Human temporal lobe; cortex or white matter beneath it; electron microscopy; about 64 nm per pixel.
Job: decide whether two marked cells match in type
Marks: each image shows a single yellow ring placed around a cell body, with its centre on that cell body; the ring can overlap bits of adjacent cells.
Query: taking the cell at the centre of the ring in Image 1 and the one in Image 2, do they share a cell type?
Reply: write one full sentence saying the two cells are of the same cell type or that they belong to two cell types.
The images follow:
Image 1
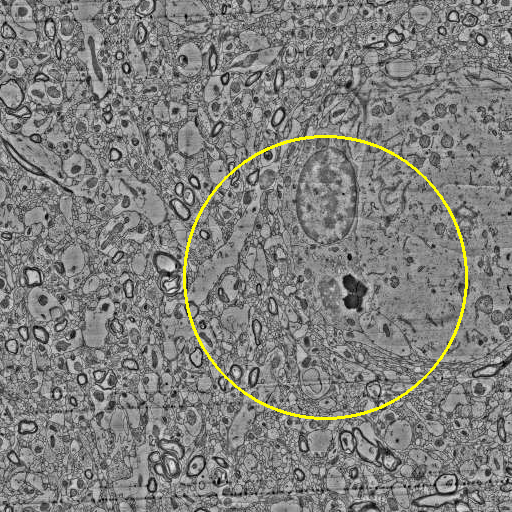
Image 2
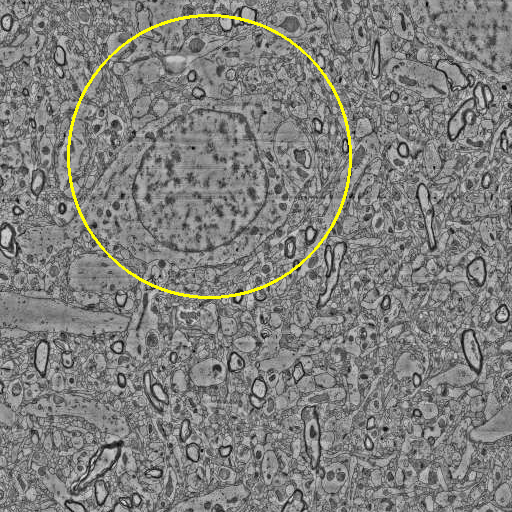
The cells at the ring centres in Image 1 and Image 2 belong to two cell types.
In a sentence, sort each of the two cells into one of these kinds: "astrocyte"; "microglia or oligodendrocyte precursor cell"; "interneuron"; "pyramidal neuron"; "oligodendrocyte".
The first of the two cells is an oligodendrocyte, and the second is an interneuron.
